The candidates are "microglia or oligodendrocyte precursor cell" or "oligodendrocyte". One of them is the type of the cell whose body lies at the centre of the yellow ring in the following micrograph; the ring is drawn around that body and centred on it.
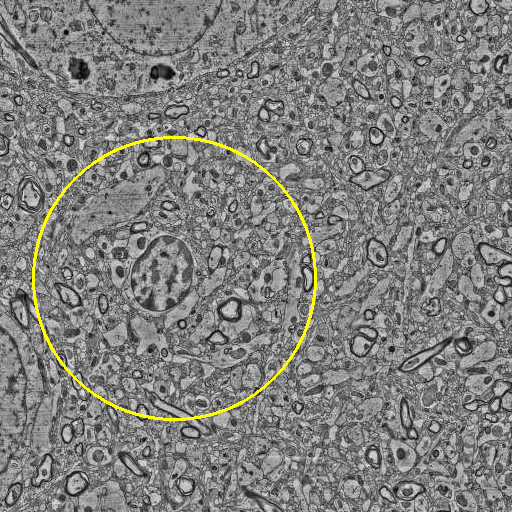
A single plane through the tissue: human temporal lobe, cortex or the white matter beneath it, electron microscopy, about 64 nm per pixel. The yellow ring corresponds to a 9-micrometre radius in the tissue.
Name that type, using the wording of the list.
microglia or oligodendrocyte precursor cell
